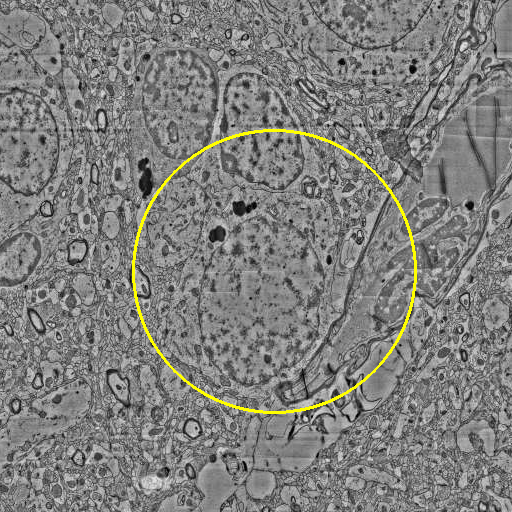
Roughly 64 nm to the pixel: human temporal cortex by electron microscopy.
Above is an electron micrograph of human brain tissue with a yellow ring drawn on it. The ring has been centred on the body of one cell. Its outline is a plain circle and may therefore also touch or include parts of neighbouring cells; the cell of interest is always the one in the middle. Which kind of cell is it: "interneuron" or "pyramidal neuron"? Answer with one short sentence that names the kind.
The ring's central cell body is that of an interneuron.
